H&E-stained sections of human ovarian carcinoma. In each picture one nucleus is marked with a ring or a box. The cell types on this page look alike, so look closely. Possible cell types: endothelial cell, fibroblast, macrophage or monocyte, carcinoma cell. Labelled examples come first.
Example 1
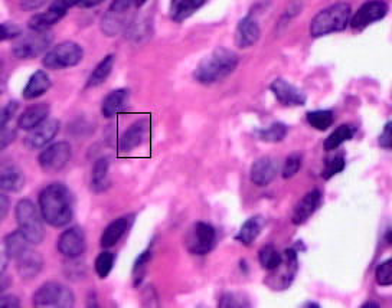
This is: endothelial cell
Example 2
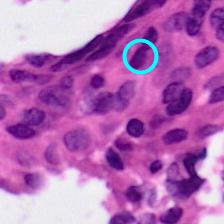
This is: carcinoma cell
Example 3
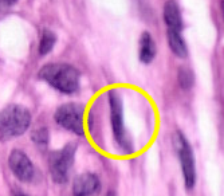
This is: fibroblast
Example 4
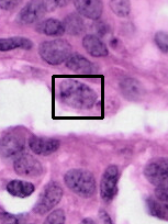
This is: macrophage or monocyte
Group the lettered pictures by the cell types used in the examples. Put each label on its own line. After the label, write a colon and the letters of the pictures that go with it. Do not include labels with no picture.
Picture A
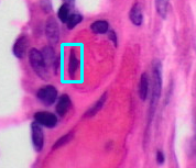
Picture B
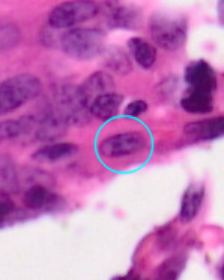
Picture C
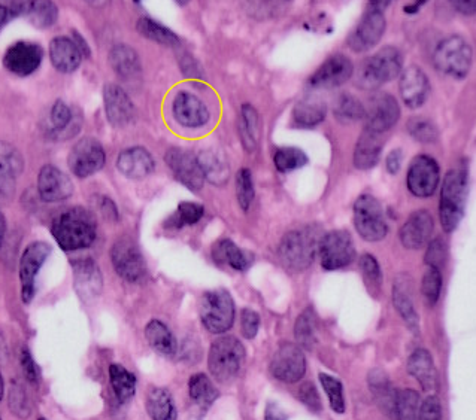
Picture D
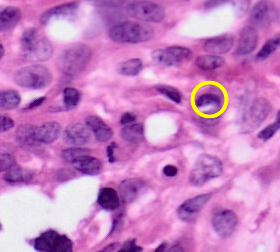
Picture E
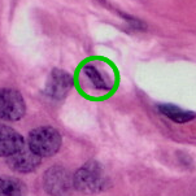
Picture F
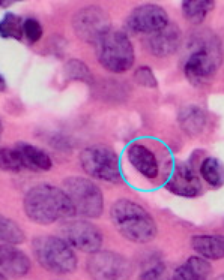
endothelial cell: A, B, D
fibroblast: E
macrophage or monocyte: C, F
